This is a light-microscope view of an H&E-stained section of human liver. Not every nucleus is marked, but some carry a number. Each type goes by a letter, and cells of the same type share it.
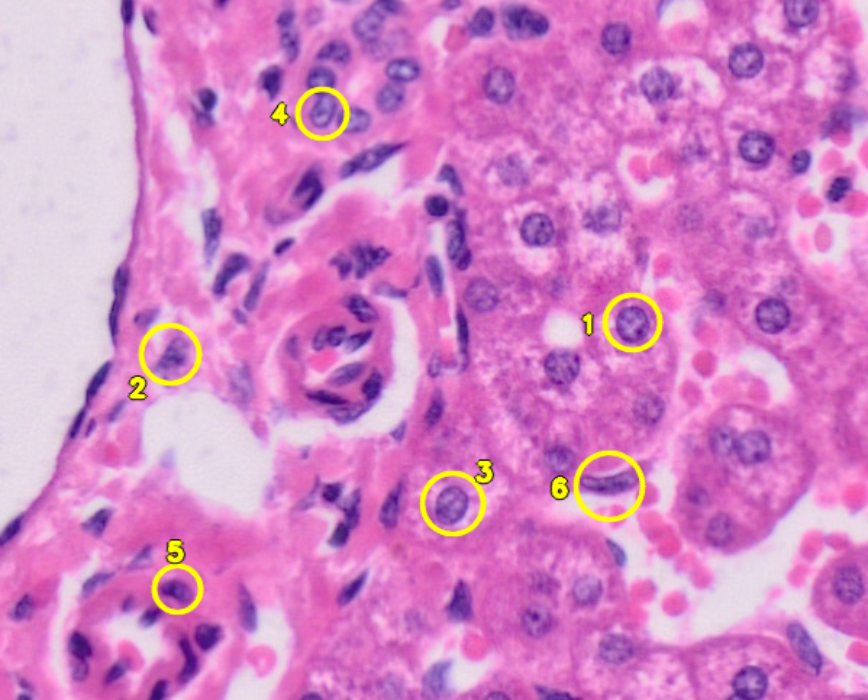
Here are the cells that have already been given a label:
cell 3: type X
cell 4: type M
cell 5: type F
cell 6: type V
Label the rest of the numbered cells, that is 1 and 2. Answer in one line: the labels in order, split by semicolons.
type X; type F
